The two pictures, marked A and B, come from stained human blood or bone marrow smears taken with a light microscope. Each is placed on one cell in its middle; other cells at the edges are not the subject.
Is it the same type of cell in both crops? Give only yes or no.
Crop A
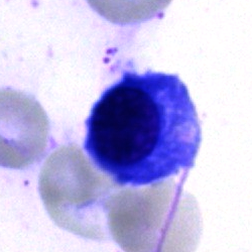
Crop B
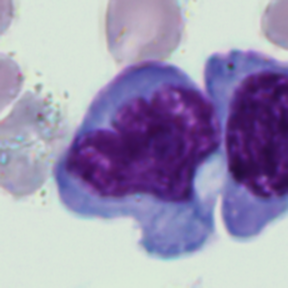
yes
